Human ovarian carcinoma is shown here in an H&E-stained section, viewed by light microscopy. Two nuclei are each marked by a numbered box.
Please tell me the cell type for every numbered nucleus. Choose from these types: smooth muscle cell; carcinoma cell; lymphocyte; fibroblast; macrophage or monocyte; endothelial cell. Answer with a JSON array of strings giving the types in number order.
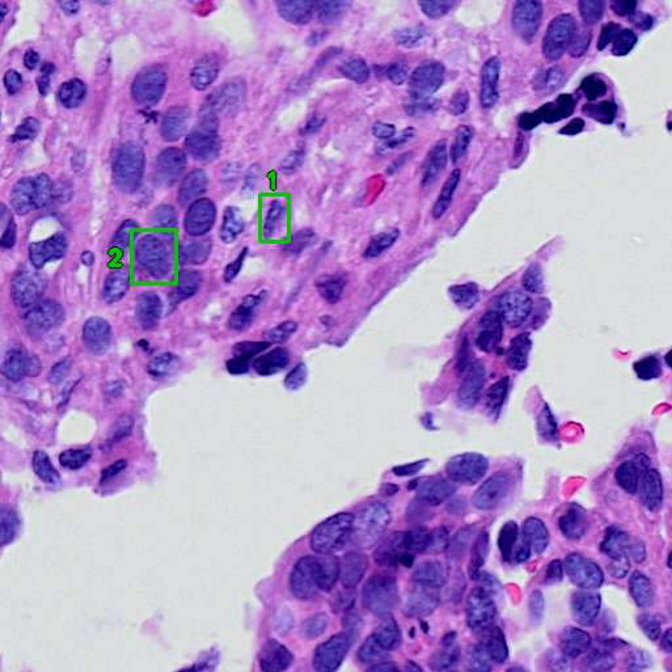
["fibroblast", "carcinoma cell"]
